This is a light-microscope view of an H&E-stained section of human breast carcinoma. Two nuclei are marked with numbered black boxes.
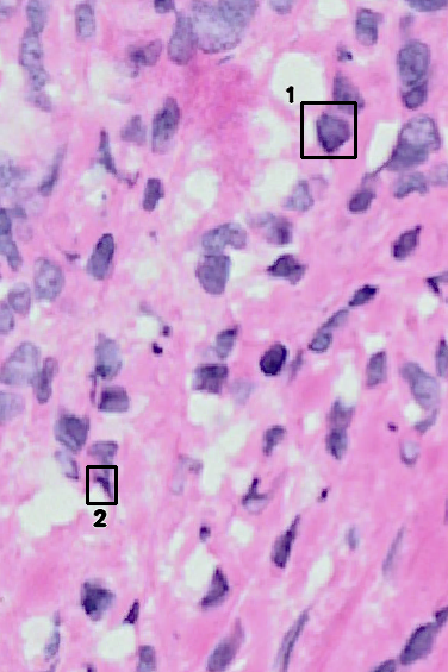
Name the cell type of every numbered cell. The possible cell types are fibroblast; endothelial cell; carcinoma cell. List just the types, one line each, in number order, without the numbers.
carcinoma cell
fibroblast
